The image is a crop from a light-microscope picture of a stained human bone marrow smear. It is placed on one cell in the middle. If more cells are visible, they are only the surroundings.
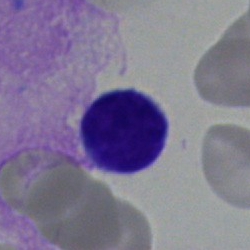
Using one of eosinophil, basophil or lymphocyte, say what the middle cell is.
lymphocyte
